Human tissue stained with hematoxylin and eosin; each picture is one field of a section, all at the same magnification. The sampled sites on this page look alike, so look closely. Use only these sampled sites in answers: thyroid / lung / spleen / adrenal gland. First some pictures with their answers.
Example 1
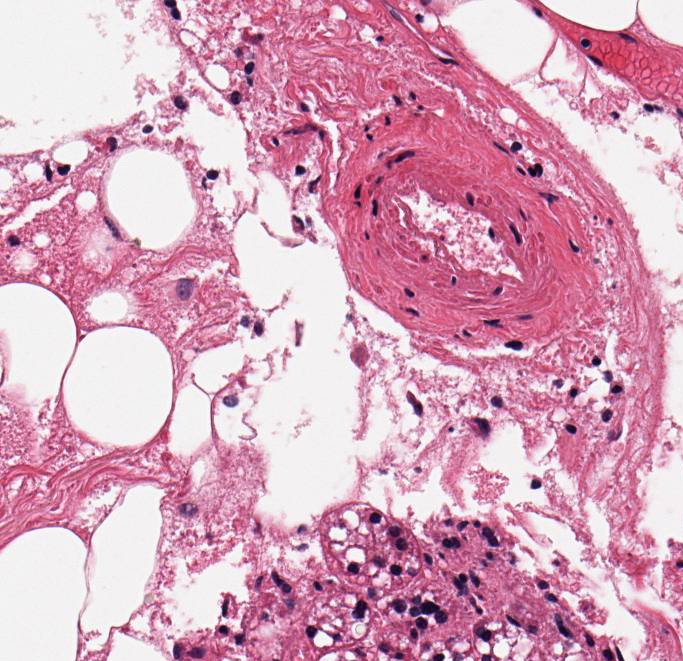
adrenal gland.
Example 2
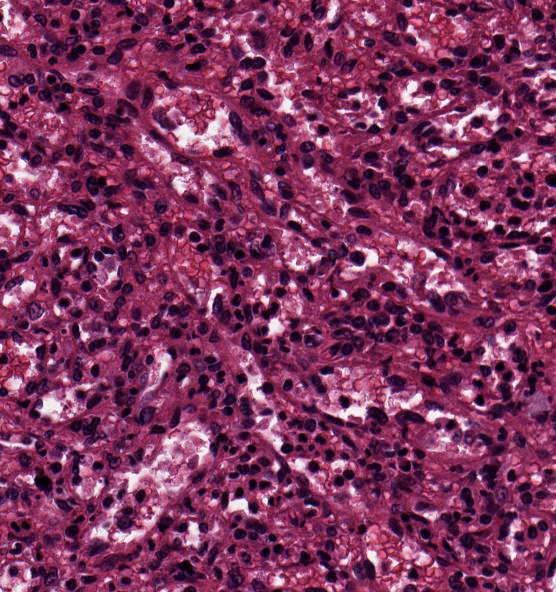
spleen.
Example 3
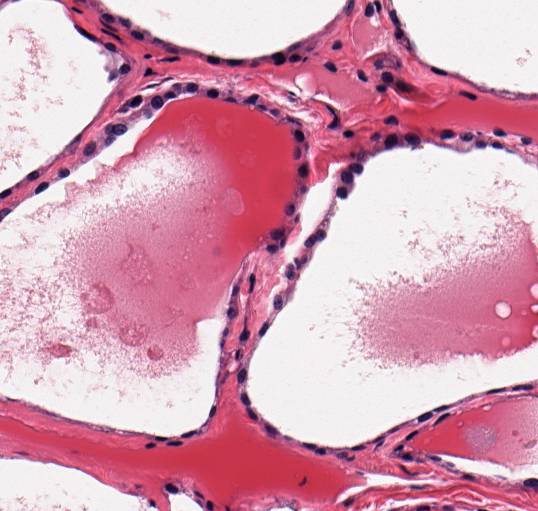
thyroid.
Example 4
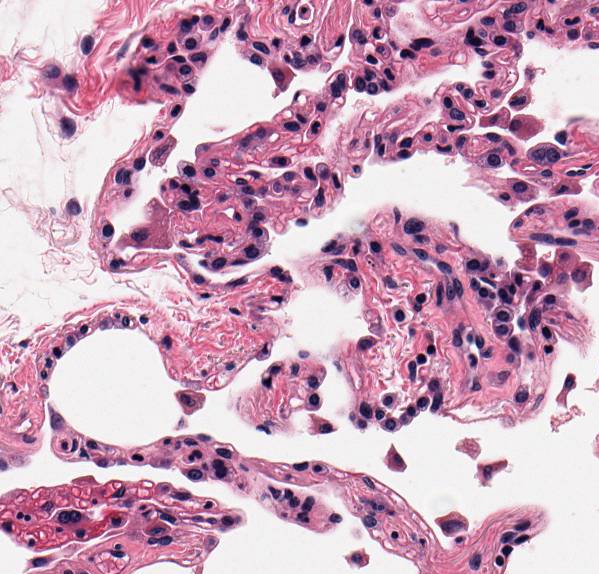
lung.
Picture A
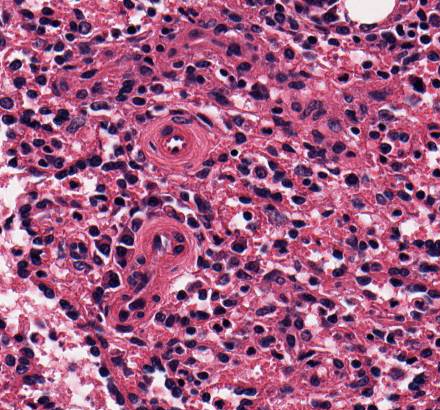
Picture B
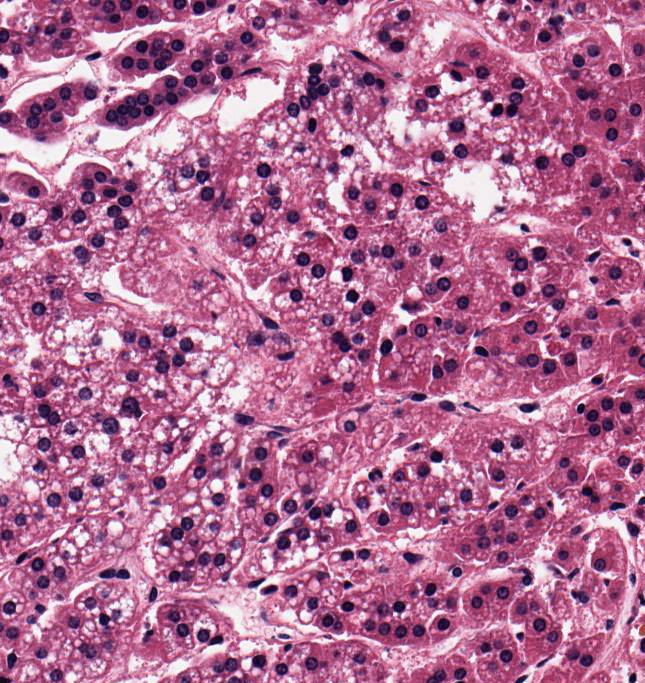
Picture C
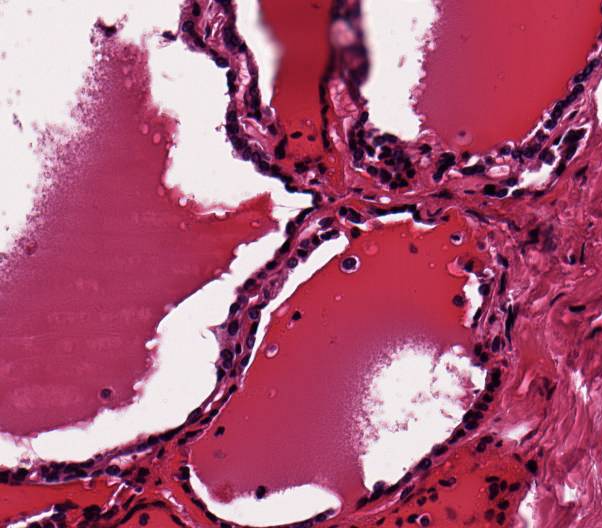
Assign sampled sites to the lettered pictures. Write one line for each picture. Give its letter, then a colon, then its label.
A: spleen.
B: adrenal gland.
C: thyroid.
